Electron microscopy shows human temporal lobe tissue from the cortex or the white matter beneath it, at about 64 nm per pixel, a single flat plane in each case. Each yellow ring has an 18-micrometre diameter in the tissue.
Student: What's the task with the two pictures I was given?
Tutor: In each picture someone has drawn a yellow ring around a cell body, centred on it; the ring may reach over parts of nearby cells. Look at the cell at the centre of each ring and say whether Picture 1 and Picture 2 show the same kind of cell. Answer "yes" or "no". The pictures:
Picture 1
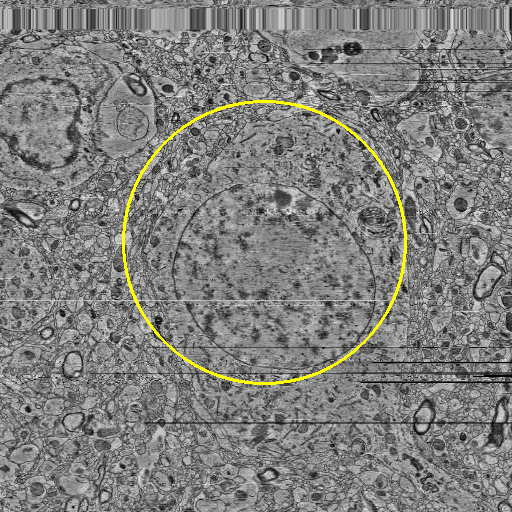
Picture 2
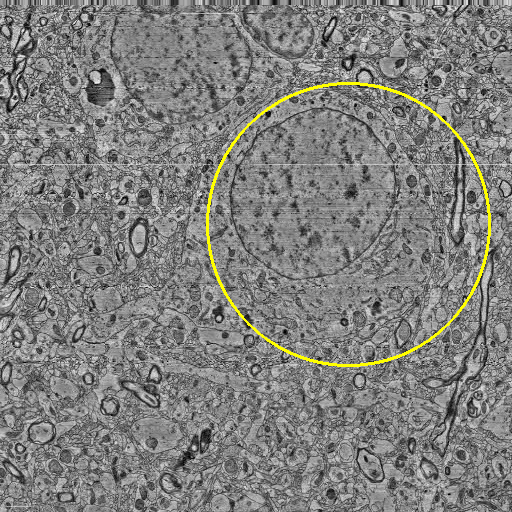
yes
